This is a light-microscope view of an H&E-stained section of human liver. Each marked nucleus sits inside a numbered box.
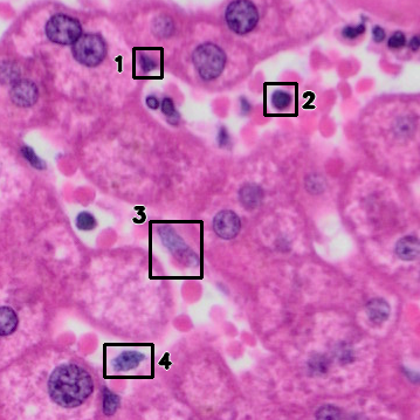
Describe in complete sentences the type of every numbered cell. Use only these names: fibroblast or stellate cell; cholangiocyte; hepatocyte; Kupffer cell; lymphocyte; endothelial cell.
Cell 1 is a fibroblast or stellate cell. Cells 2 and 4 are lymphocytes. Cell 3 is a Kupffer cell.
